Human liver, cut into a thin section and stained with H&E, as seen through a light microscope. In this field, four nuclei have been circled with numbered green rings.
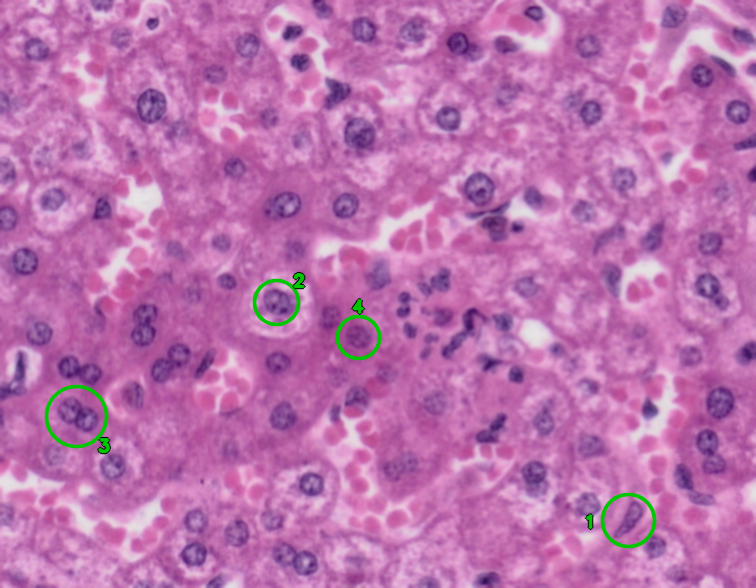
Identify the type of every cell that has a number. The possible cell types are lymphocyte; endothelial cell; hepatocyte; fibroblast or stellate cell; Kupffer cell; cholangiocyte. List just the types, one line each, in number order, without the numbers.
Kupffer cell
hepatocyte
hepatocyte
hepatocyte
